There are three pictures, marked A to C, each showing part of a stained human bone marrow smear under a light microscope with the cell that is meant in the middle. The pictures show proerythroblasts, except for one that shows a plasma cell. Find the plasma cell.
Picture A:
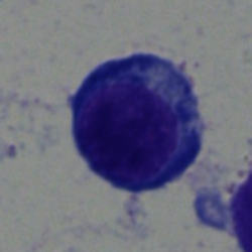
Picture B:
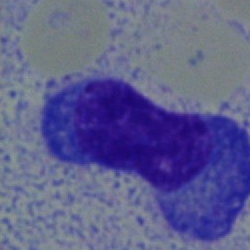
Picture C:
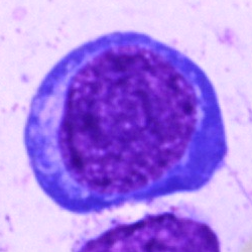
B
